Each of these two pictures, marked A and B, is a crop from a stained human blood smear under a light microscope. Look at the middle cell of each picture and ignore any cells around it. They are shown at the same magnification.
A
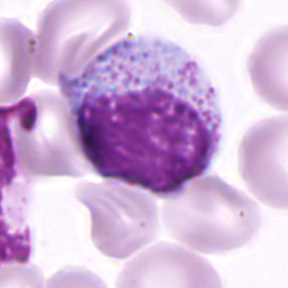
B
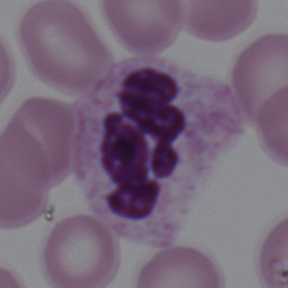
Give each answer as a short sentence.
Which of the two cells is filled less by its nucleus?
In picture B the nucleus takes up the smaller part of its cell.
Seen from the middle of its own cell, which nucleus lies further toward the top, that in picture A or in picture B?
Seen within its cell, the nucleus in picture B lies further toward the top.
